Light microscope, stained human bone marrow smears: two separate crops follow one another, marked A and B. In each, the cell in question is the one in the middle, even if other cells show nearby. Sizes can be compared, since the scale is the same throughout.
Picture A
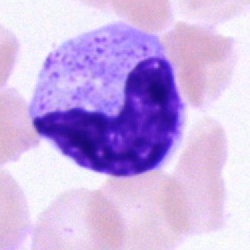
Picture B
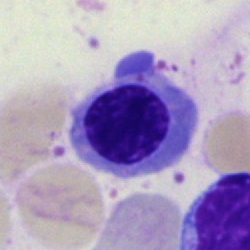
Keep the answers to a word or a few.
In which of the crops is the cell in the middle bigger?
A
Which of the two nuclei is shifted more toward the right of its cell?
A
